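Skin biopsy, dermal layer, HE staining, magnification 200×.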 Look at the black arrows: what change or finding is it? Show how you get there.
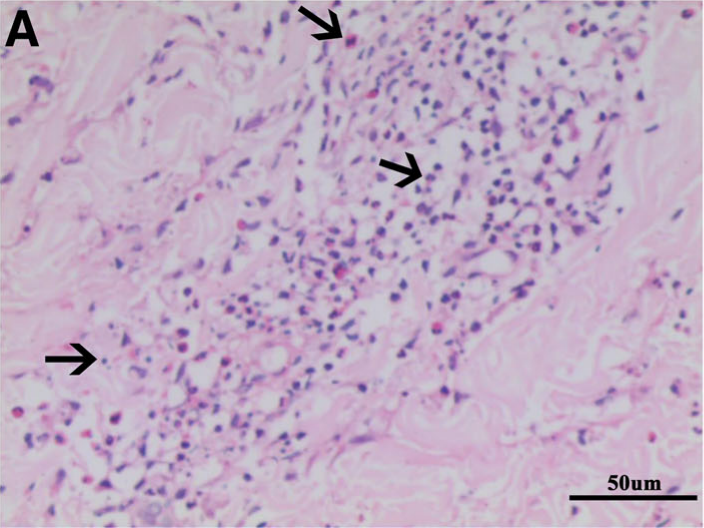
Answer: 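Infiltration of eosinophils, neutrophils, and lymphocytes. A dense band of small cells with dark purple nuclei crosses the pale pink collagen. Scattered cells with bright red-pink granular cytoplasm lie among them. Many small round dark nuclei sit between loosened collagen bundles.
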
